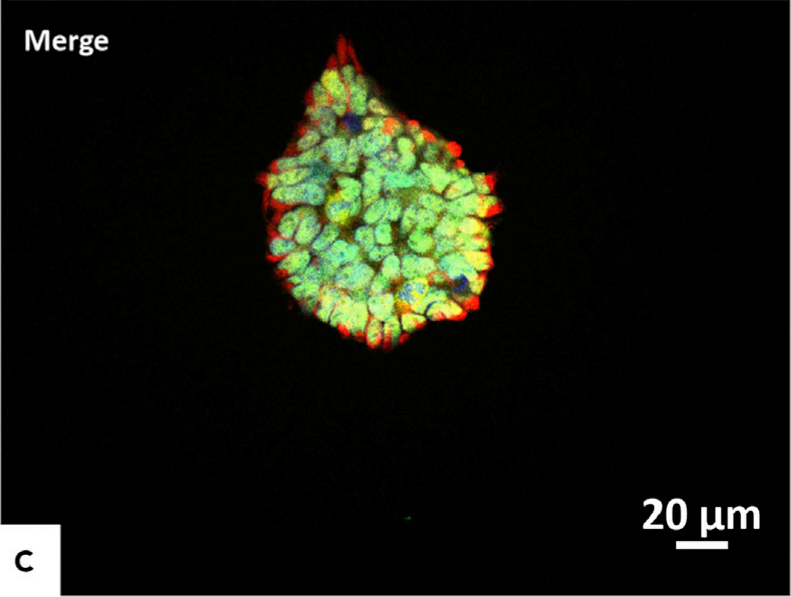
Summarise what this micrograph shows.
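The cells are tightly packed, with little space between them, and their rounded to polygonal nuclei fill most of each cell. Nearly every nucleus glows a mixed green and yellow, with a few showing more blue. The cluster is roughly rounded with one tapered end, and no cells lie scattered outside it.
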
